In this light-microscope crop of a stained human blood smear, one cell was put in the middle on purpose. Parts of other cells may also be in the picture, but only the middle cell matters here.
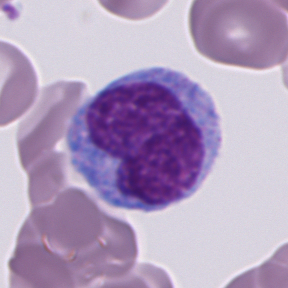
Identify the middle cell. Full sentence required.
Centred in the crop is a monocyte.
